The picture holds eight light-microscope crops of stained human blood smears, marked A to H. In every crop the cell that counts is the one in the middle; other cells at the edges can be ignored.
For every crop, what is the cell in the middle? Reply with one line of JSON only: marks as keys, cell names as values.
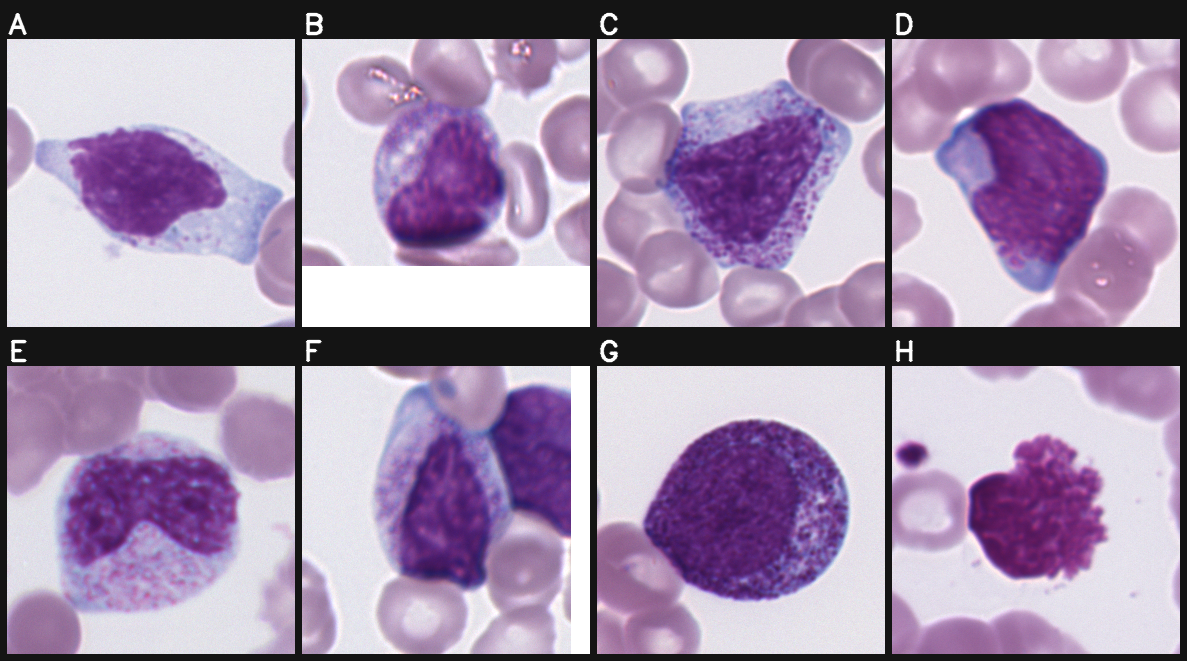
{"A": "large granular lymphocyte", "B": "metamyelocyte", "C": "promyelocyte", "D": "myeloblast", "E": "band neutrophil", "F": "myelocyte", "G": "promyelocyte", "H": "smudge cell"}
